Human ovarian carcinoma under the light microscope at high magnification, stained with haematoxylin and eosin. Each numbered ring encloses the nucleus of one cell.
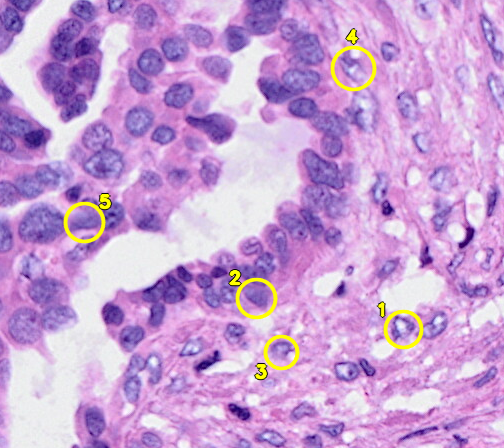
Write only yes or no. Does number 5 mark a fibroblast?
no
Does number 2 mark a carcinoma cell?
yes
